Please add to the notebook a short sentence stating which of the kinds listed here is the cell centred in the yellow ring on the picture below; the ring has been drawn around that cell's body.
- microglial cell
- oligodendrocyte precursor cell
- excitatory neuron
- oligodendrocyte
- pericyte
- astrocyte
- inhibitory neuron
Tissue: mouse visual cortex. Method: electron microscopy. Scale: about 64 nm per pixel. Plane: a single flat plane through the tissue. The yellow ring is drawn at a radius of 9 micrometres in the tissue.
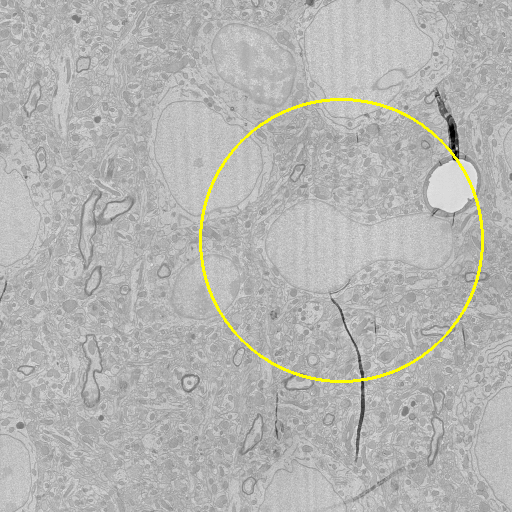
The cell centred in the yellow ring is an astrocyte.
